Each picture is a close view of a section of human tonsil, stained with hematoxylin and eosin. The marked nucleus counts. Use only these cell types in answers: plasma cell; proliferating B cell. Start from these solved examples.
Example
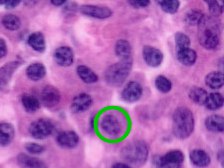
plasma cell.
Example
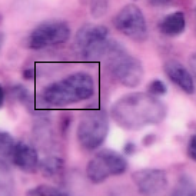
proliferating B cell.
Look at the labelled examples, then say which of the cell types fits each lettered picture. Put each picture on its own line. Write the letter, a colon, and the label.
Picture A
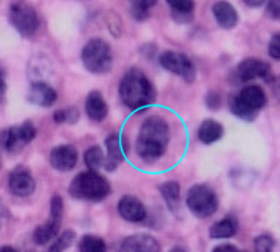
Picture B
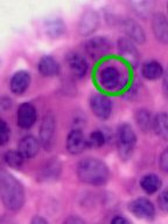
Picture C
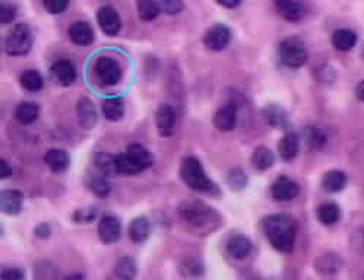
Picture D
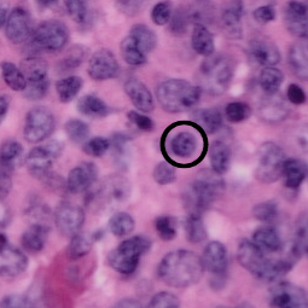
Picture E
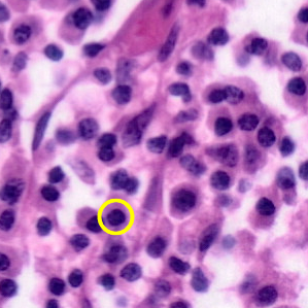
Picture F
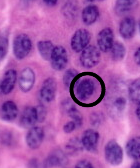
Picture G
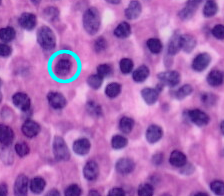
A: proliferating B cell.
B: plasma cell.
C: plasma cell.
D: proliferating B cell.
E: plasma cell.
F: plasma cell.
G: plasma cell.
